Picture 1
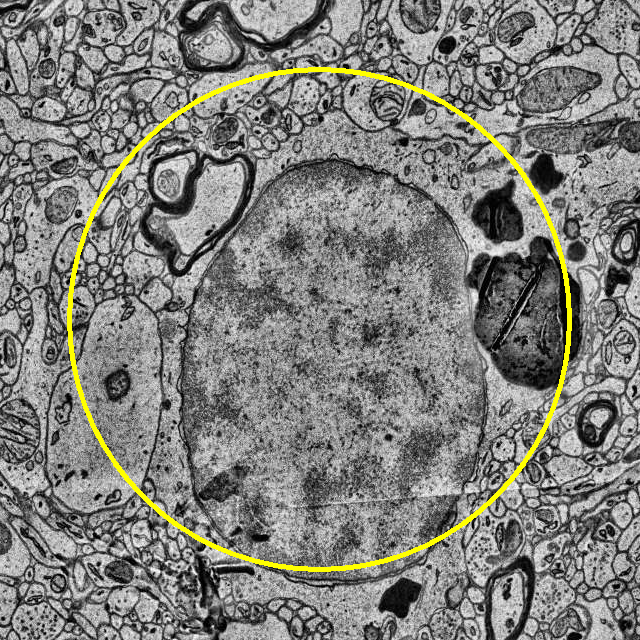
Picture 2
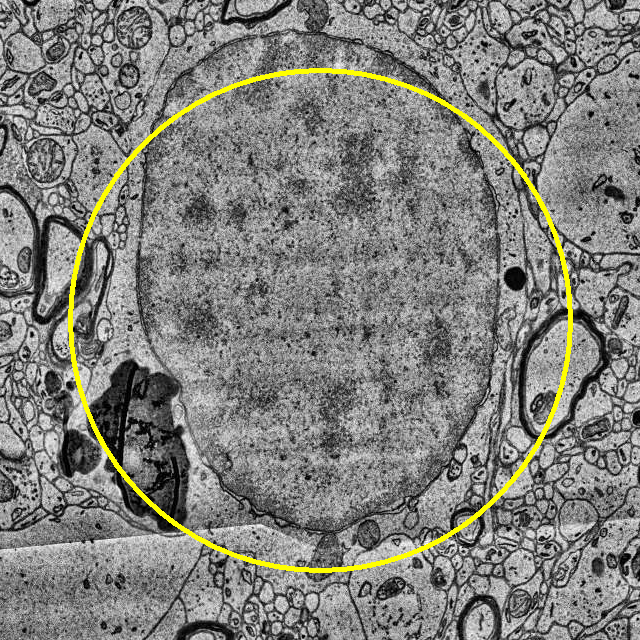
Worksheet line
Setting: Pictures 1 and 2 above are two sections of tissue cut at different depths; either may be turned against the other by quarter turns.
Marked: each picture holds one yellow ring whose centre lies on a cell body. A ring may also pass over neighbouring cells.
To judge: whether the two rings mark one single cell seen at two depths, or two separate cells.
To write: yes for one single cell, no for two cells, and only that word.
yes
